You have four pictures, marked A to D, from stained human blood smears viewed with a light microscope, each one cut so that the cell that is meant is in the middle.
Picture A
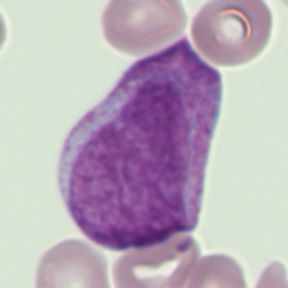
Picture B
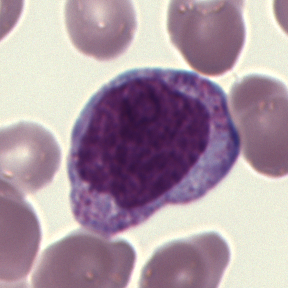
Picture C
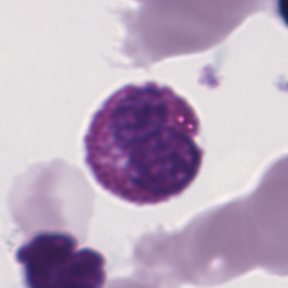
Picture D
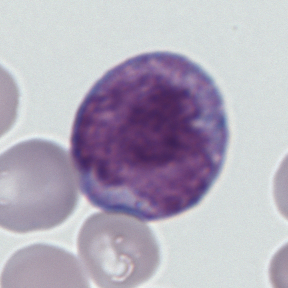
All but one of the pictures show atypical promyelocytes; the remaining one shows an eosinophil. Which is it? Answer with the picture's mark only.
C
